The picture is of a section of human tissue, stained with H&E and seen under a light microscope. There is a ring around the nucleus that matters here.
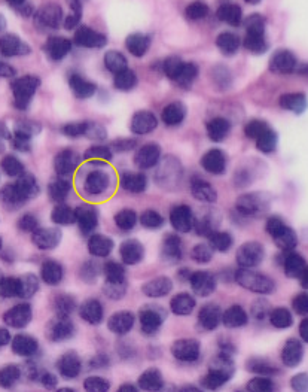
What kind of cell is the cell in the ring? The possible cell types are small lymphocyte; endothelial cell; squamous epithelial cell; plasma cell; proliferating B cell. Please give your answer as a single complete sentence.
In the context of this tissue, the cell in the ring is a small lymphocyte.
